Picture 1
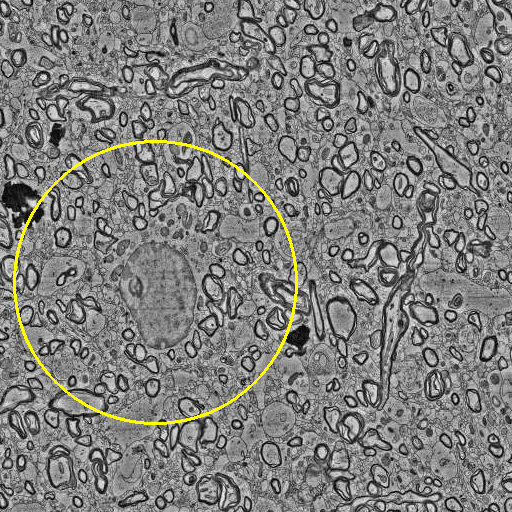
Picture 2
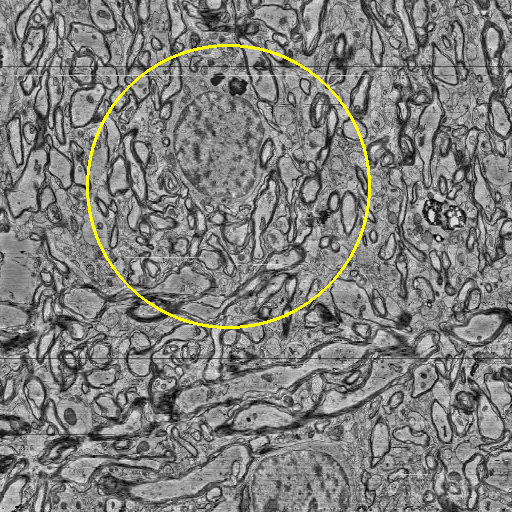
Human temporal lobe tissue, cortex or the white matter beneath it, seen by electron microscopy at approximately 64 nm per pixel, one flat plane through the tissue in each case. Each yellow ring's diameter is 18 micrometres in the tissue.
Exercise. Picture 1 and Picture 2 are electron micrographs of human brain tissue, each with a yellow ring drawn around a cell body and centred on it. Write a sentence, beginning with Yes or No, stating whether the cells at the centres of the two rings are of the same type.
Yes, the cells at the centres of both rings are of the same type.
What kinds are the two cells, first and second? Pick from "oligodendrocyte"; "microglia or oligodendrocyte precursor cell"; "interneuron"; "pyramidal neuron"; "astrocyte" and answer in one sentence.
Each of the two rings is centred on an oligodendrocyte.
